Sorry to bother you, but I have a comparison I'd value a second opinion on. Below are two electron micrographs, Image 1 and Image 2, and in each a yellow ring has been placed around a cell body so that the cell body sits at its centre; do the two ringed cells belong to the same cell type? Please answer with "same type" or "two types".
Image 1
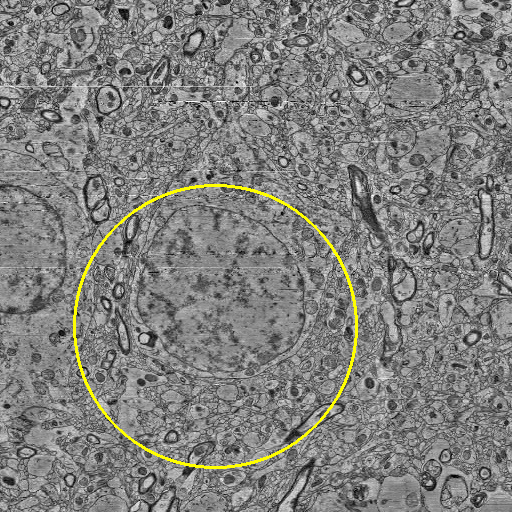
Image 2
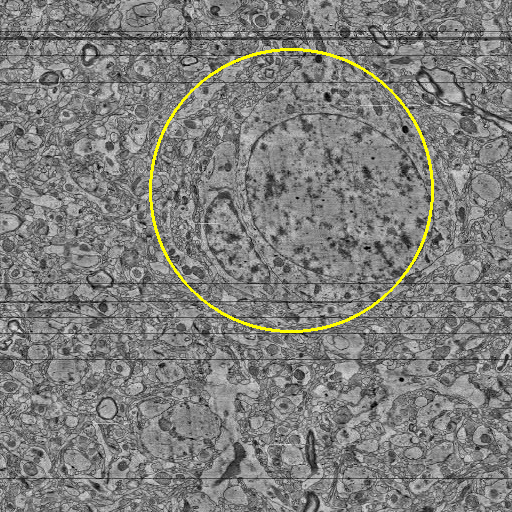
same type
